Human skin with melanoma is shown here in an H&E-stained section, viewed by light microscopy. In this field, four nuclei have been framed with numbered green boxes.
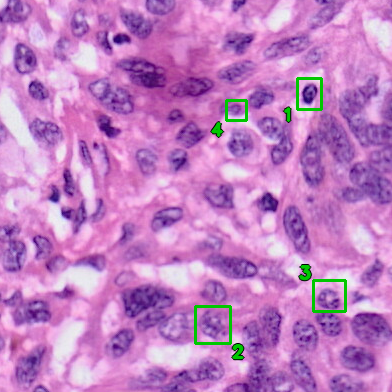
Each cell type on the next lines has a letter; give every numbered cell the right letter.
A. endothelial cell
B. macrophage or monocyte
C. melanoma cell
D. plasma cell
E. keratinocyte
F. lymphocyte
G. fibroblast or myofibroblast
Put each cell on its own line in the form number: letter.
1: F
2: C
3: C
4: C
